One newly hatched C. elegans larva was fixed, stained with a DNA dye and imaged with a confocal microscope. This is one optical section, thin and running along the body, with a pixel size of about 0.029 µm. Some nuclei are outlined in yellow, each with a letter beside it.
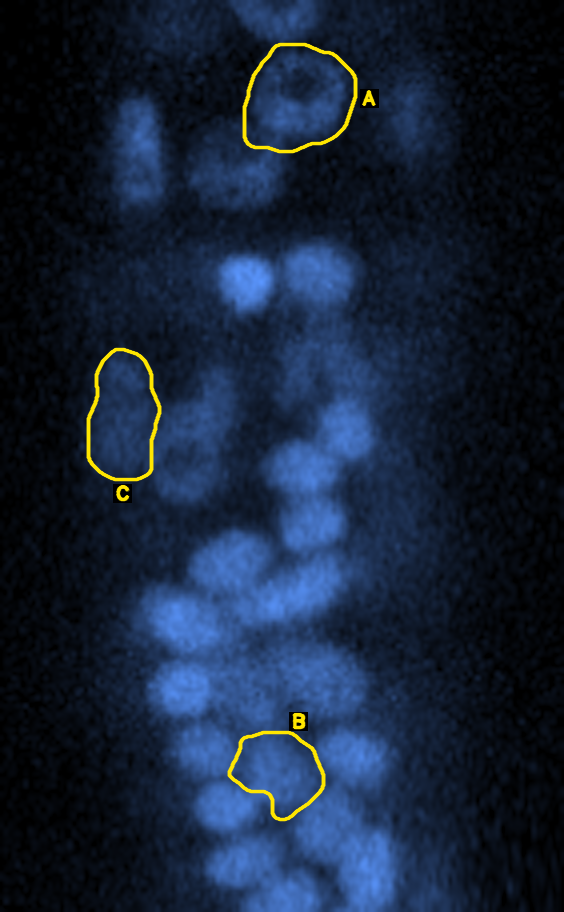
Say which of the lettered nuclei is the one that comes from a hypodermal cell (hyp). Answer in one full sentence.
A is the one that belongs to a hypodermal cell (hyp).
